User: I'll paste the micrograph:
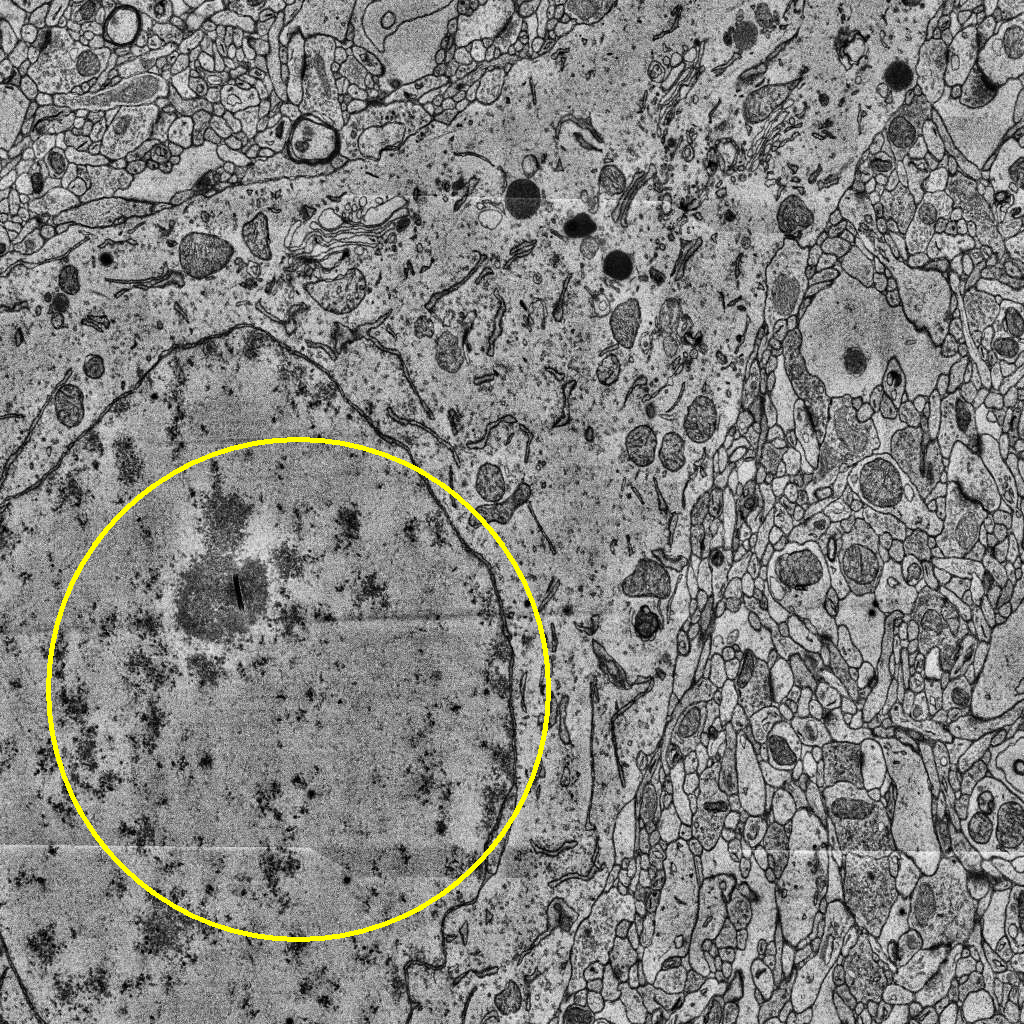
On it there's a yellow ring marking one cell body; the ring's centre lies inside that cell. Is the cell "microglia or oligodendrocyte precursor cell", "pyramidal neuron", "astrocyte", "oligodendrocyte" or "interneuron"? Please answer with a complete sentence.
The cell at the centre of the yellow ring is a pyramidal neuron.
